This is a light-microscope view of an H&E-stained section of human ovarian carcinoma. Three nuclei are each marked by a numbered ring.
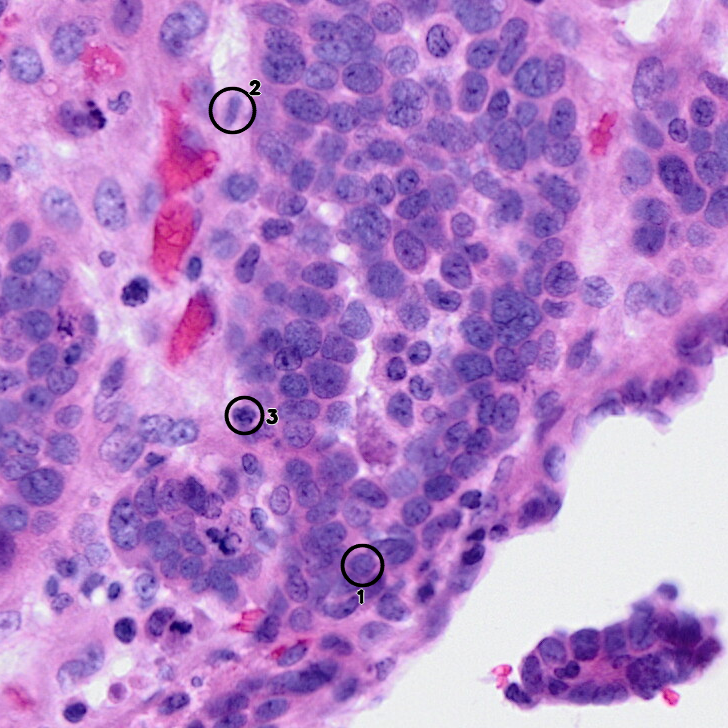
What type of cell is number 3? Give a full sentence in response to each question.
Here the cell numbered 3 is a lymphocyte.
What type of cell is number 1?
As for number 1, that cell is a carcinoma cell.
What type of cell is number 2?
The one labeled 2 is a macrophage or monocyte, to put it simply.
